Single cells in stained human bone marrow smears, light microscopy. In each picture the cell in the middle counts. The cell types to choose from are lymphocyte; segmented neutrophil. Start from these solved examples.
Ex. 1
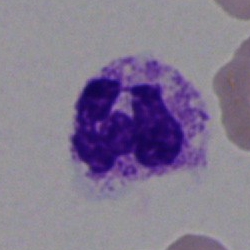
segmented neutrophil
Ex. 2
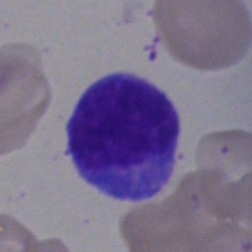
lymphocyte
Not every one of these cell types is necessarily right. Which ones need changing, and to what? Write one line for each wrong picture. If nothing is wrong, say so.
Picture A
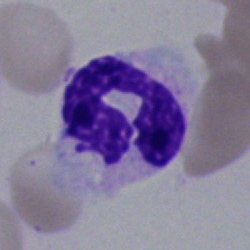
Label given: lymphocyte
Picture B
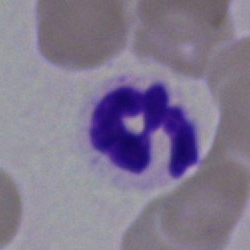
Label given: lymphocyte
A: not lymphocyte but segmented neutrophil
B: not lymphocyte but segmented neutrophil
